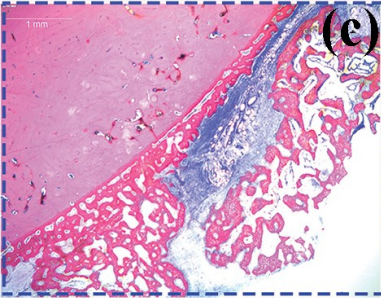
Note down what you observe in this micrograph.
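This low-power cross-section shows cortical bone with a layer of woven bone forming on its outer surface. On the left, the compact cortex is dense and uniformly pink, with small scattered lacunae and channels. Along its outer surface runs a band of blue fibrous tissue. Beyond and alongside this band lies a loose meshwork of thin, irregular pink trabeculae separated by open spaces.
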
